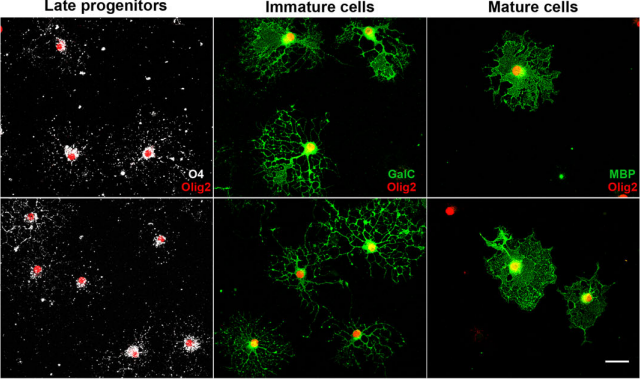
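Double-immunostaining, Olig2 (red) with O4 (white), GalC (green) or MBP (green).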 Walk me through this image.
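In the left column the cells are small, and the white label forms a fine, dotted halo of short processes close around each red nucleus. In the middle column the green cells send out many long, repeatedly branching processes that form a dense, web-like tree around the cell body. In the right column the green cells are larger and have spread into broad, flat membrane sheets with a lacy, net-like texture, the red nucleus sitting near the centre. Scattered small green and white specks lie in the dark background between the cells.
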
